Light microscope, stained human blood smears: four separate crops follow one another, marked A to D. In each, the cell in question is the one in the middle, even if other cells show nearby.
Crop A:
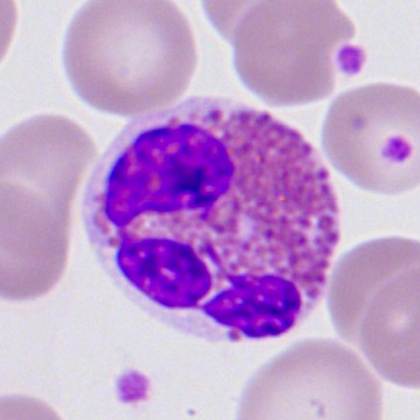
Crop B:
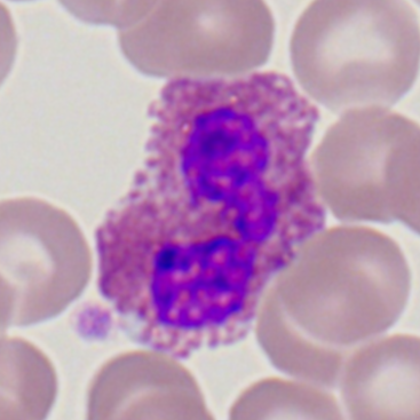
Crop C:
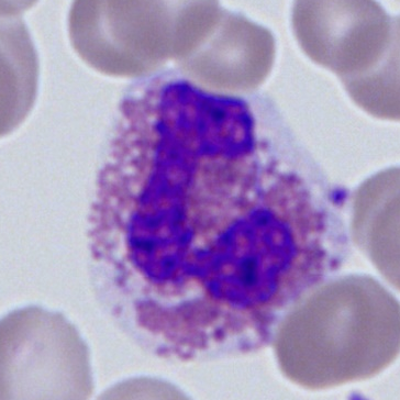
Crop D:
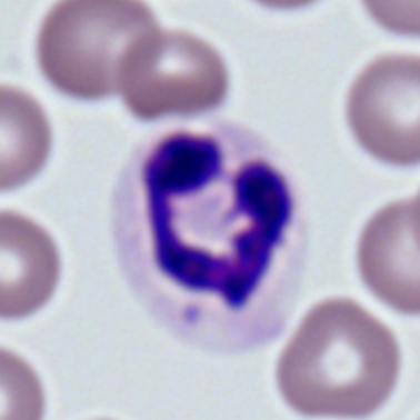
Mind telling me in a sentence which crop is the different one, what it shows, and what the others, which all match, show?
Crop D does not match the others; it shows a segmented neutrophil, and they show eosinophils.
